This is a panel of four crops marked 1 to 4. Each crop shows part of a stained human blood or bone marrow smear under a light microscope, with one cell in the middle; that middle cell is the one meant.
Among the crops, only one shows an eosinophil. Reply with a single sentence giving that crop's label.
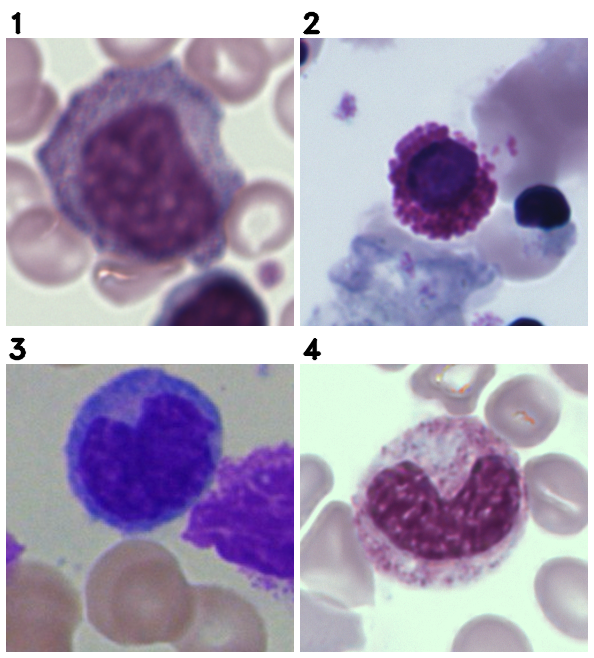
Among all the crops given here, the one with an eosinophil is crop 2.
